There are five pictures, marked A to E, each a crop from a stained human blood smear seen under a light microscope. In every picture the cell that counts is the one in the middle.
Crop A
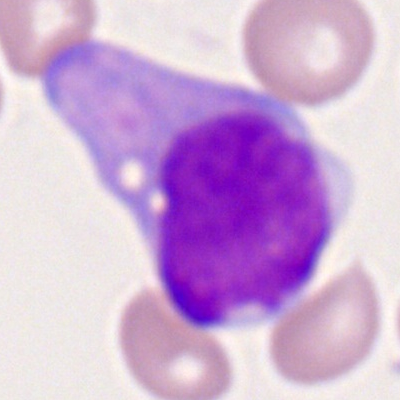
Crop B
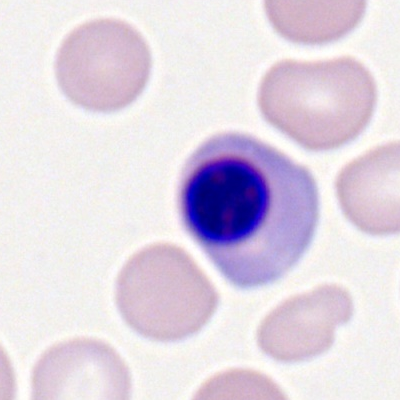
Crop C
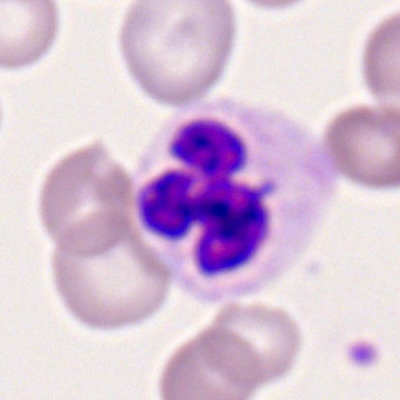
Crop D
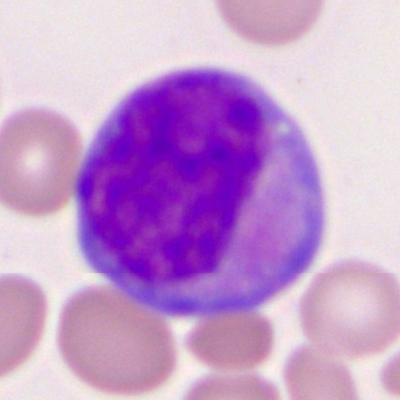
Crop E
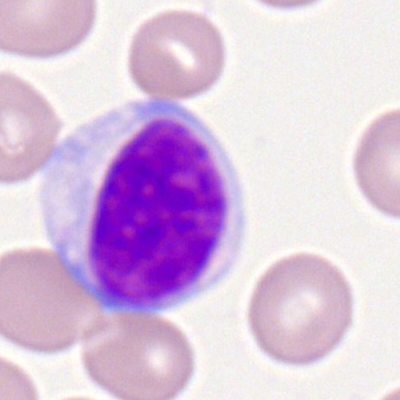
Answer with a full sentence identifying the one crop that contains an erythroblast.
Crop B is the one that shows an erythroblast.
